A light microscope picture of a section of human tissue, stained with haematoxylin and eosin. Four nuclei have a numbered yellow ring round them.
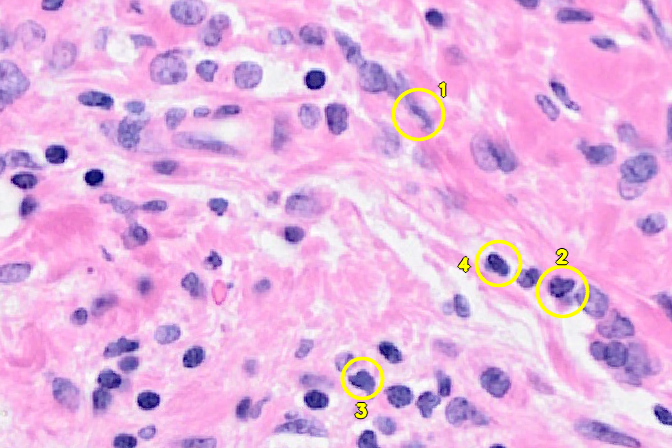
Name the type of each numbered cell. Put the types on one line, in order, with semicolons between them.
fibroblast; lymphocyte; lymphocyte; lymphocyte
